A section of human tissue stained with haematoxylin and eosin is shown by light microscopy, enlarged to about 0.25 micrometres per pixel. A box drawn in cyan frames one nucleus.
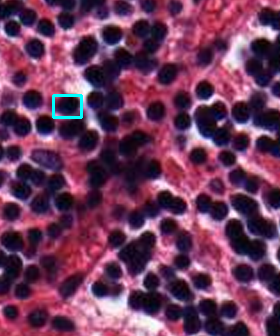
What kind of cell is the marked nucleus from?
cerebellar granule cell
